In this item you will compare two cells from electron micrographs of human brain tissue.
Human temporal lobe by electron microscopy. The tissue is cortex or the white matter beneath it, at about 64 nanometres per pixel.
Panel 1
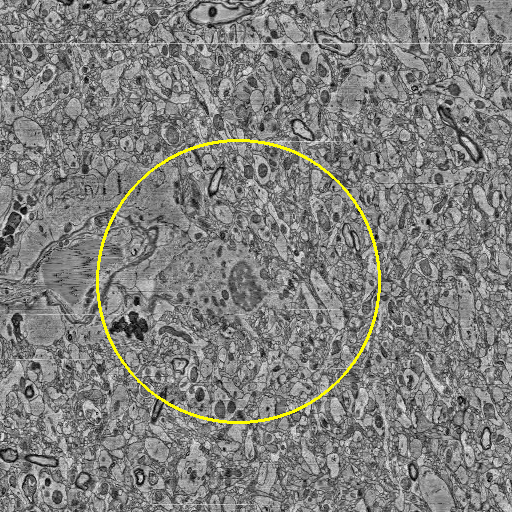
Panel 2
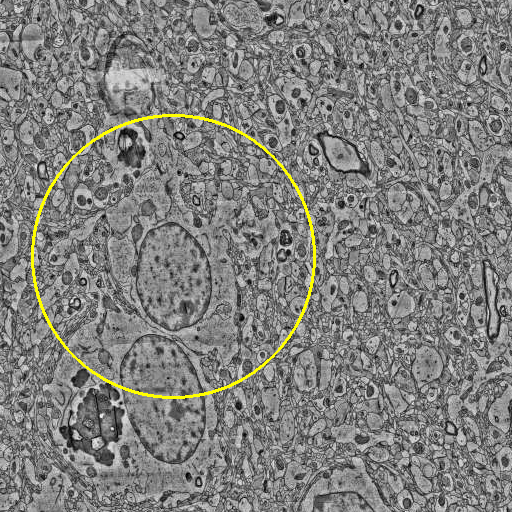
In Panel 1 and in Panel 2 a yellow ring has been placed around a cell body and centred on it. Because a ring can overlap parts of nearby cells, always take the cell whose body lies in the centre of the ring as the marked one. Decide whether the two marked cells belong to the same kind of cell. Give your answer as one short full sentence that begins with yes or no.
No, the two marked cells belong to two kinds of cell.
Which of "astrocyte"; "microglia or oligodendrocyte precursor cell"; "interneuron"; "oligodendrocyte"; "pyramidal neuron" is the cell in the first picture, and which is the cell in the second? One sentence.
The two differ: the first cell is an oligodendrocyte and the second is an astrocyte.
